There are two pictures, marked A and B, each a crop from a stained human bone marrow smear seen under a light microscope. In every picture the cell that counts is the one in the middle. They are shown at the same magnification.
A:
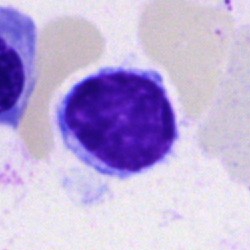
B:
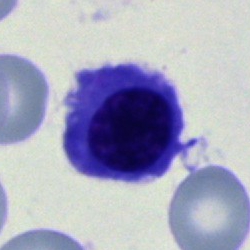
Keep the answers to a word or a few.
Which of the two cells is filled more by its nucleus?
A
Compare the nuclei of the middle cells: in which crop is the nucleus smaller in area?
B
